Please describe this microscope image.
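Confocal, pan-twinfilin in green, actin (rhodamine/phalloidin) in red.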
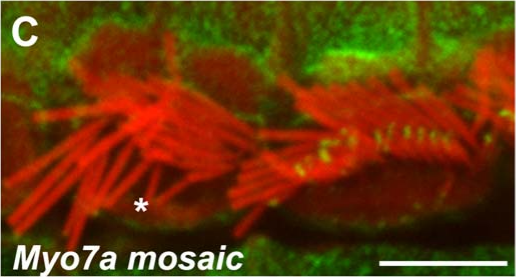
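Here two inner hair cells sit side by side, each with a bundle of red, rod-like stereocilia on its apical surface. In the right-hand cell small green dots cap the stereocilia tips in orderly rows, whereas the left-hand cell, marked with an asterisk, has a disorganized bundle without green dots at its tips.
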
